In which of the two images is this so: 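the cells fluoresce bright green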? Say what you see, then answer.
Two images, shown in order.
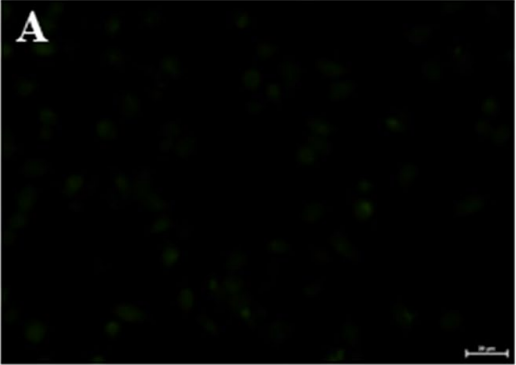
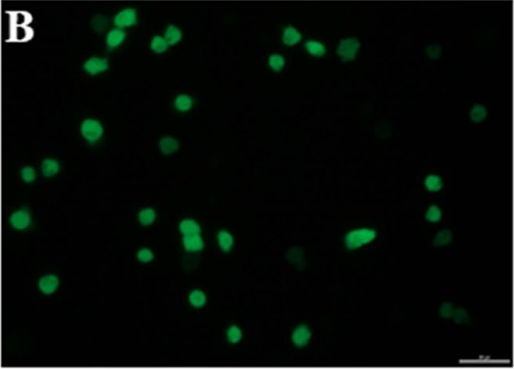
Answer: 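First image: cells are only faintly green, barely above the dark background. Second image: many round cells glow bright green against the dark background.
Answer: the second image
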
